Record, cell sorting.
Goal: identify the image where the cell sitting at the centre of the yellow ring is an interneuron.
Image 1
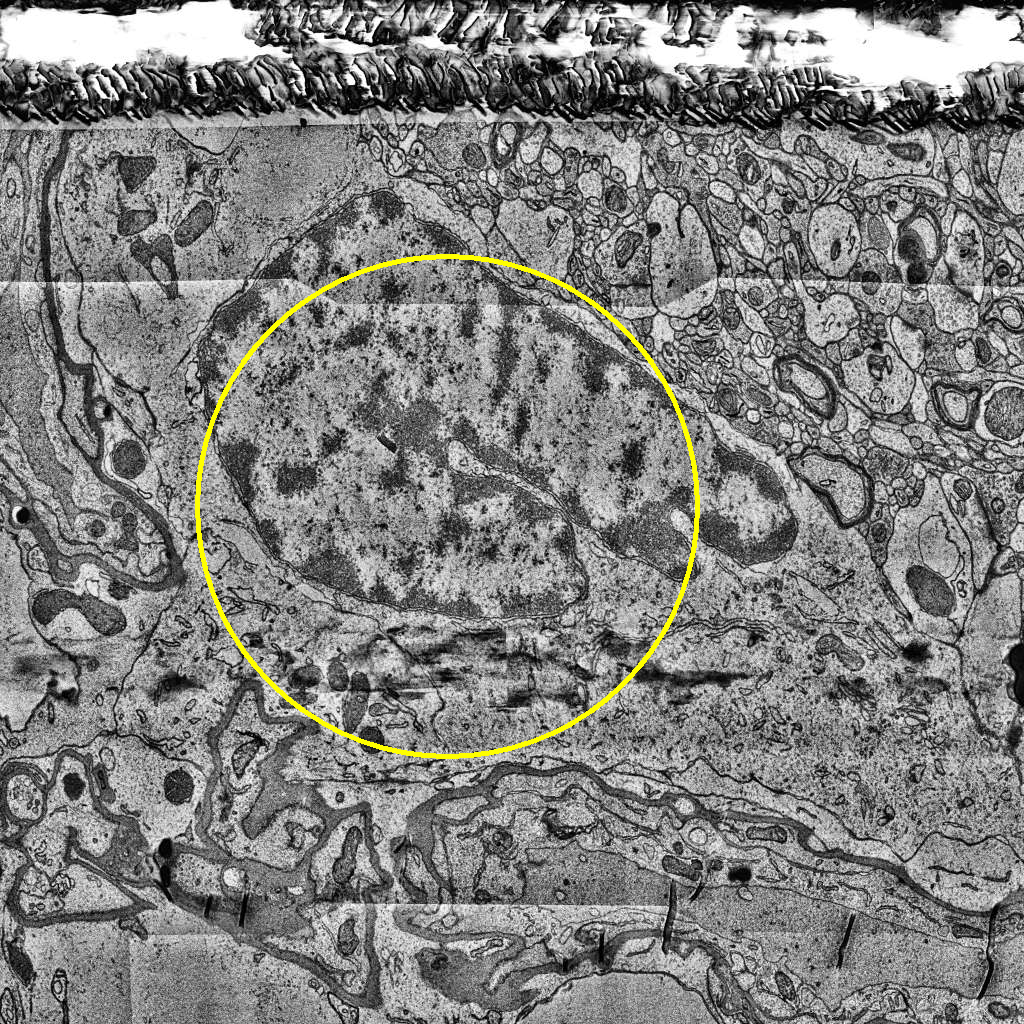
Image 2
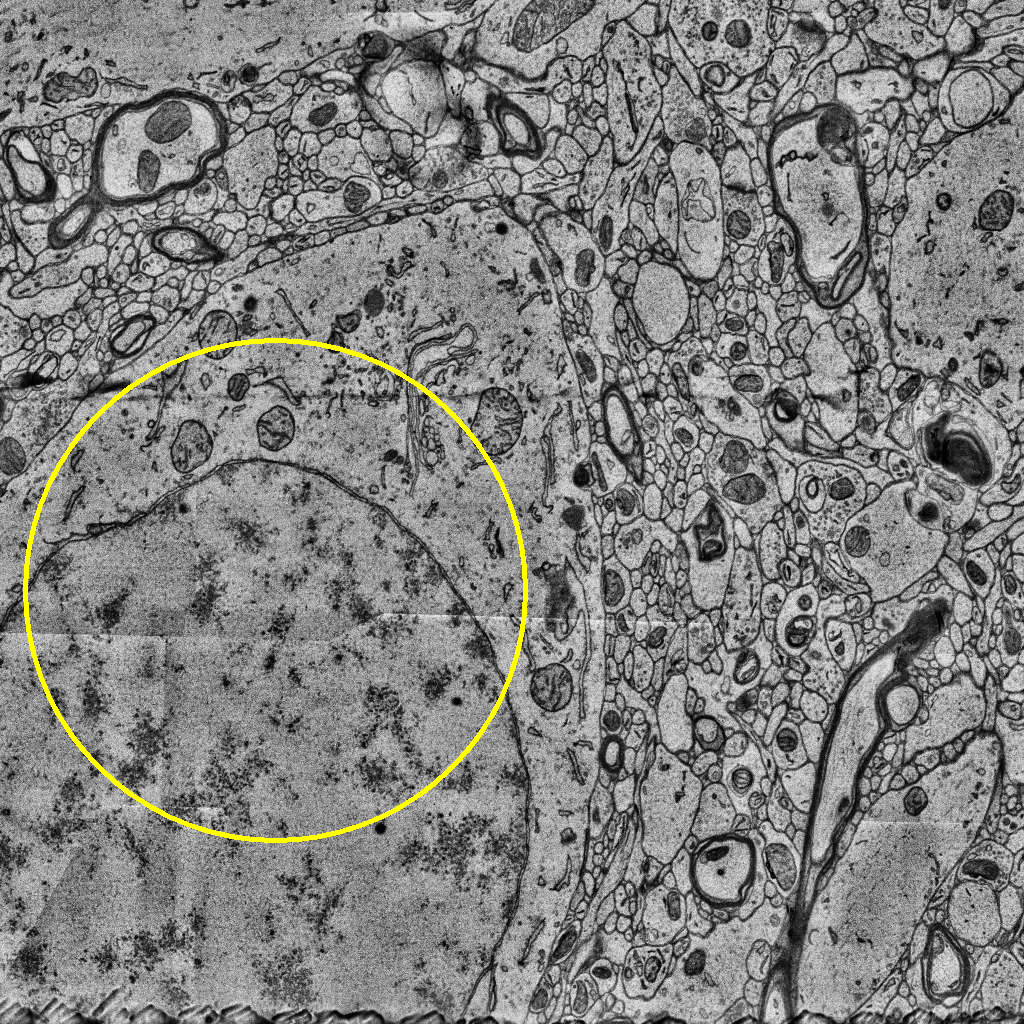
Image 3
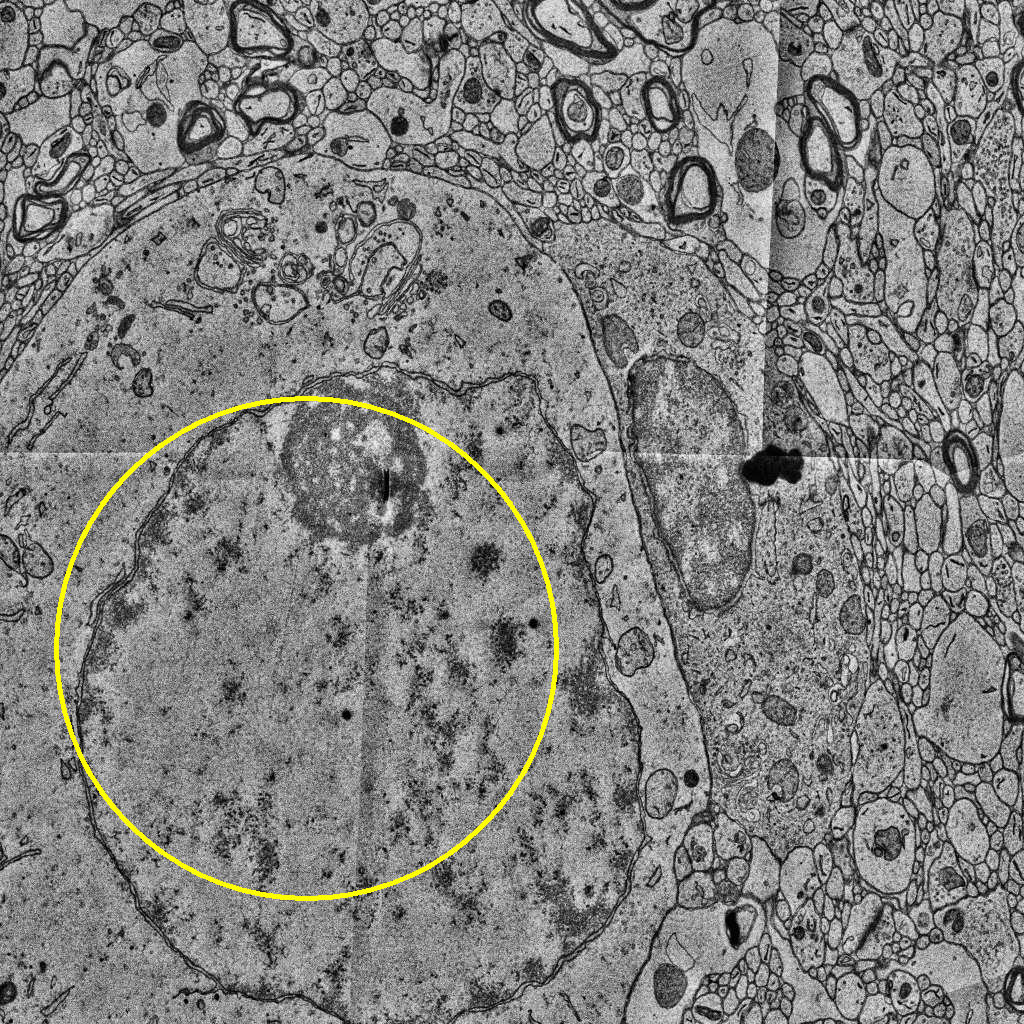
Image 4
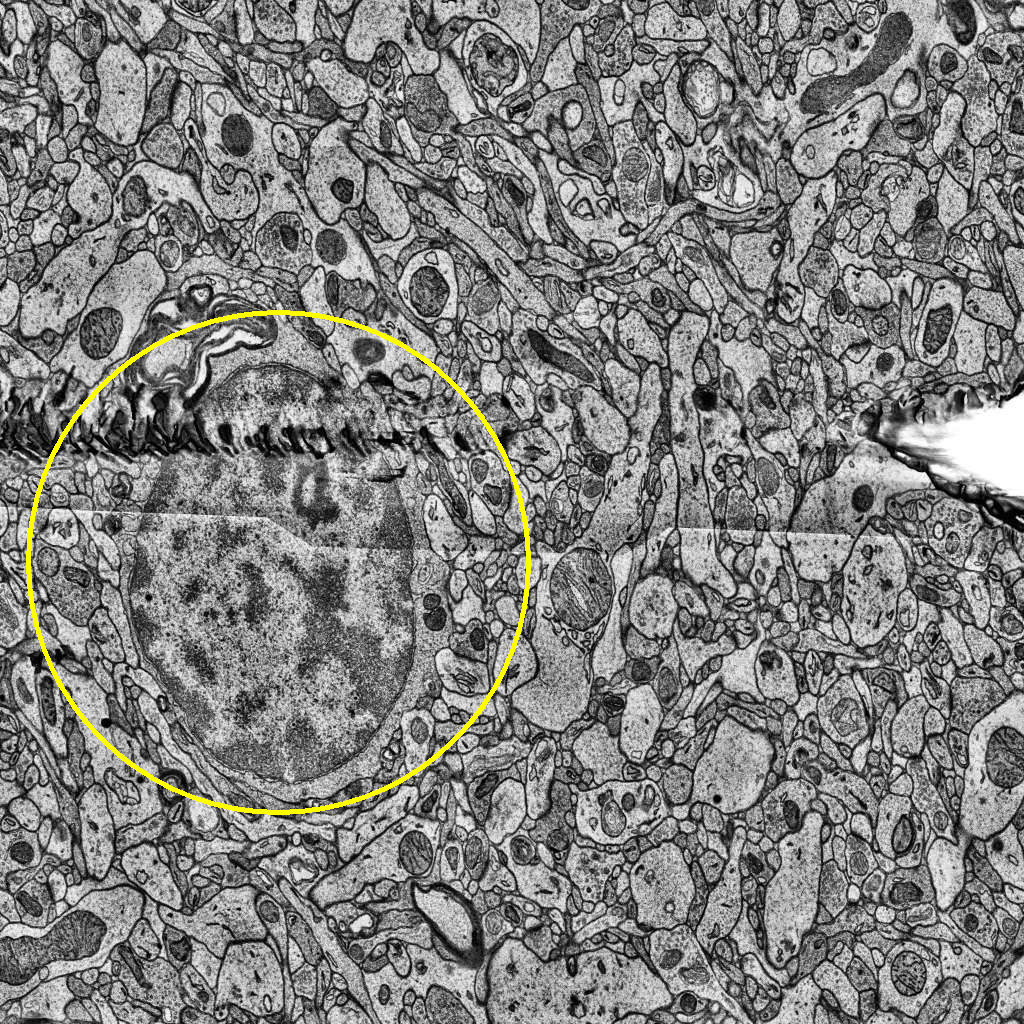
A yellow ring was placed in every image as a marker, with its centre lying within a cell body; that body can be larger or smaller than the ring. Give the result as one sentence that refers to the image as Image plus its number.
Image 3 shows the requested cell sitting right at the centre of its ring.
